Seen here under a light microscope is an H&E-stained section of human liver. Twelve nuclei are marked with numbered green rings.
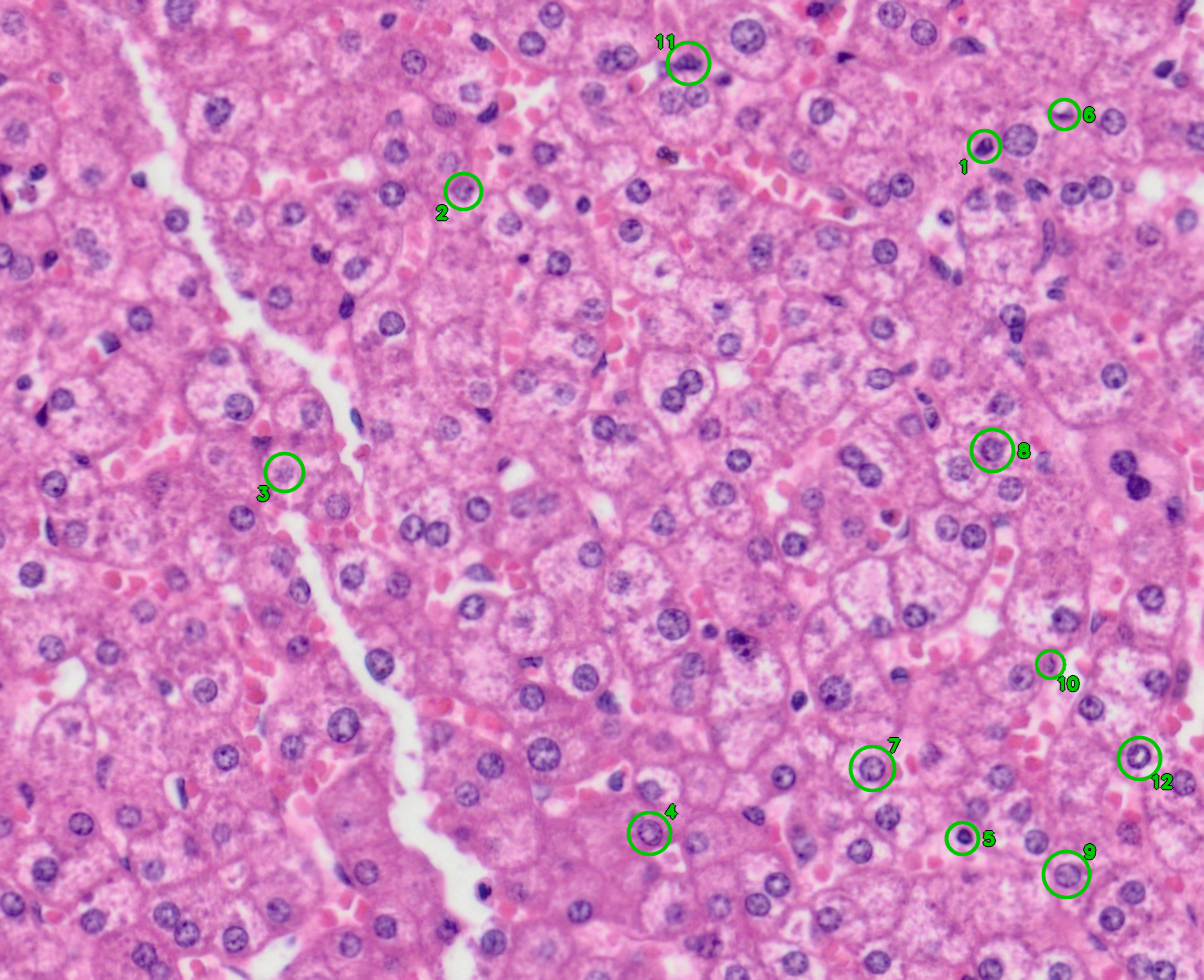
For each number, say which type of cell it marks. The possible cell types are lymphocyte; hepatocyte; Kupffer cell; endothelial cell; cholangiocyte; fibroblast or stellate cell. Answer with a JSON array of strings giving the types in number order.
["lymphocyte", "hepatocyte", "hepatocyte", "hepatocyte", "lymphocyte", "endothelial cell", "hepatocyte", "hepatocyte", "hepatocyte", "Kupffer cell", "fibroblast or stellate cell", "hepatocyte"]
